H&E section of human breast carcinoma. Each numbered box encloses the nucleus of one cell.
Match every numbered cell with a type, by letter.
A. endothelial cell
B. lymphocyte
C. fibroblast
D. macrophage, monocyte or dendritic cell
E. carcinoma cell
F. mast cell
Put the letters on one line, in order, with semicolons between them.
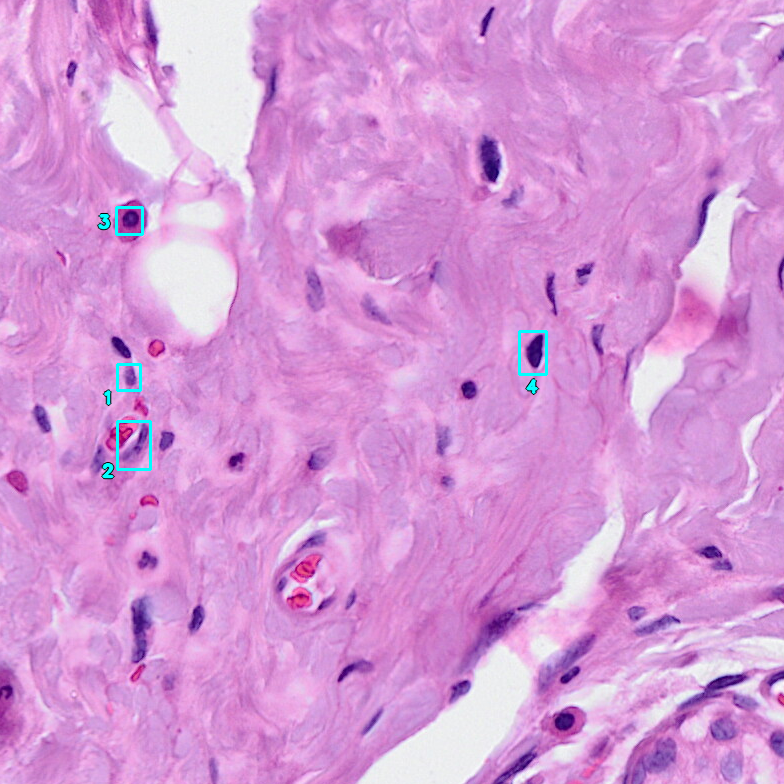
C; A; F; C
